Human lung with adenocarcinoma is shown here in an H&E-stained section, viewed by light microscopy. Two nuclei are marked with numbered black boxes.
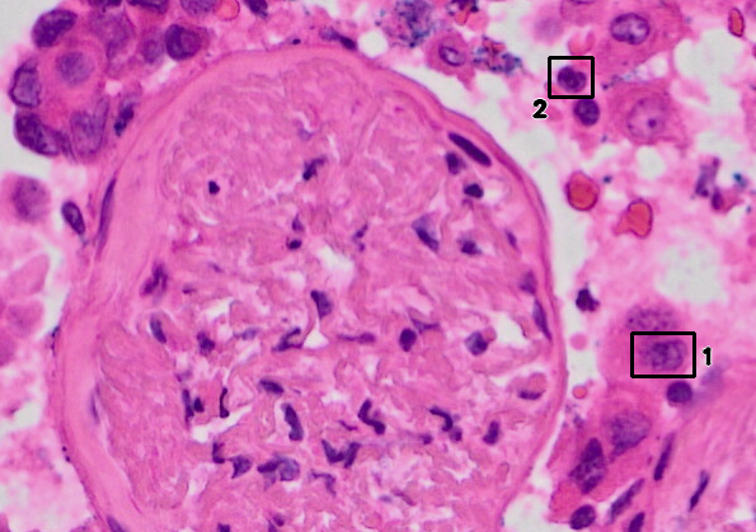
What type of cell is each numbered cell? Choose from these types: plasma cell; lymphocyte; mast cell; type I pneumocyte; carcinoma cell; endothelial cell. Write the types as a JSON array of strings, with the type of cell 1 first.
["carcinoma cell", "lymphocyte"]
